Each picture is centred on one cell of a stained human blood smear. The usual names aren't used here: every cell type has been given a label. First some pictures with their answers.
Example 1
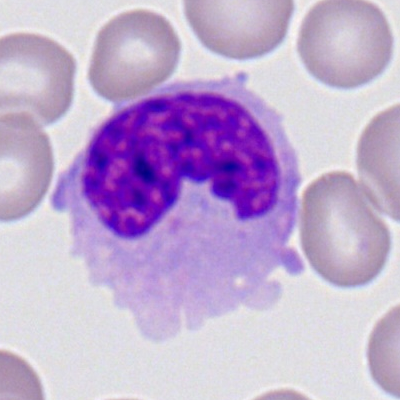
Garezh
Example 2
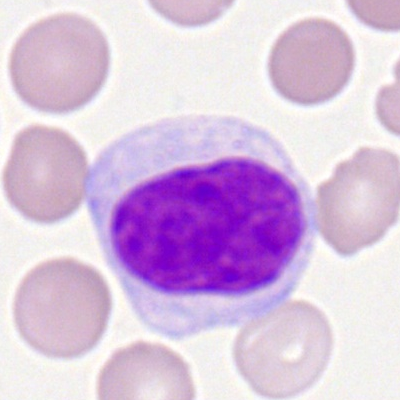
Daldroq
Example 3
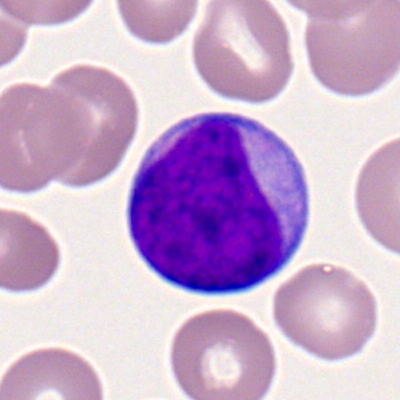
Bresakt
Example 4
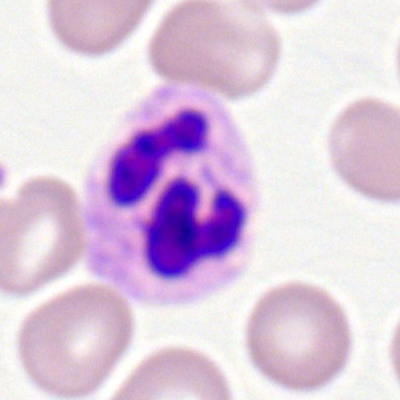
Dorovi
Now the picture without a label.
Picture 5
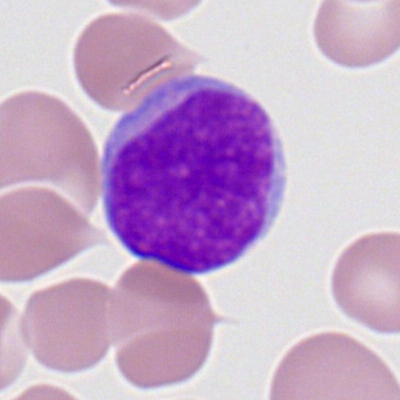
Bresakt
